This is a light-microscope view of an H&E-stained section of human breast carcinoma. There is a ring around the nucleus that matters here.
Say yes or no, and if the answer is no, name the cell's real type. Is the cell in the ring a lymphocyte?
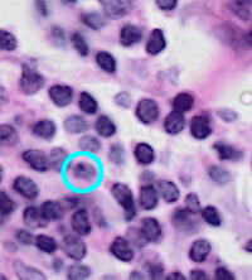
Yes.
